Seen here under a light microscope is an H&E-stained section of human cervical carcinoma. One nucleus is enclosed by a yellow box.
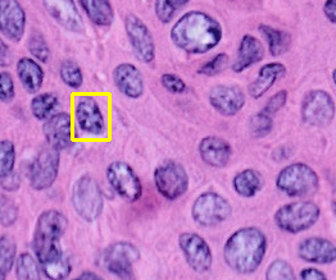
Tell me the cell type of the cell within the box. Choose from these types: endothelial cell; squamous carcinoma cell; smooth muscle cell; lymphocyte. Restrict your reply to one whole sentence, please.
In this tissue section, the cell within the box is to be classed as a squamous carcinoma cell.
